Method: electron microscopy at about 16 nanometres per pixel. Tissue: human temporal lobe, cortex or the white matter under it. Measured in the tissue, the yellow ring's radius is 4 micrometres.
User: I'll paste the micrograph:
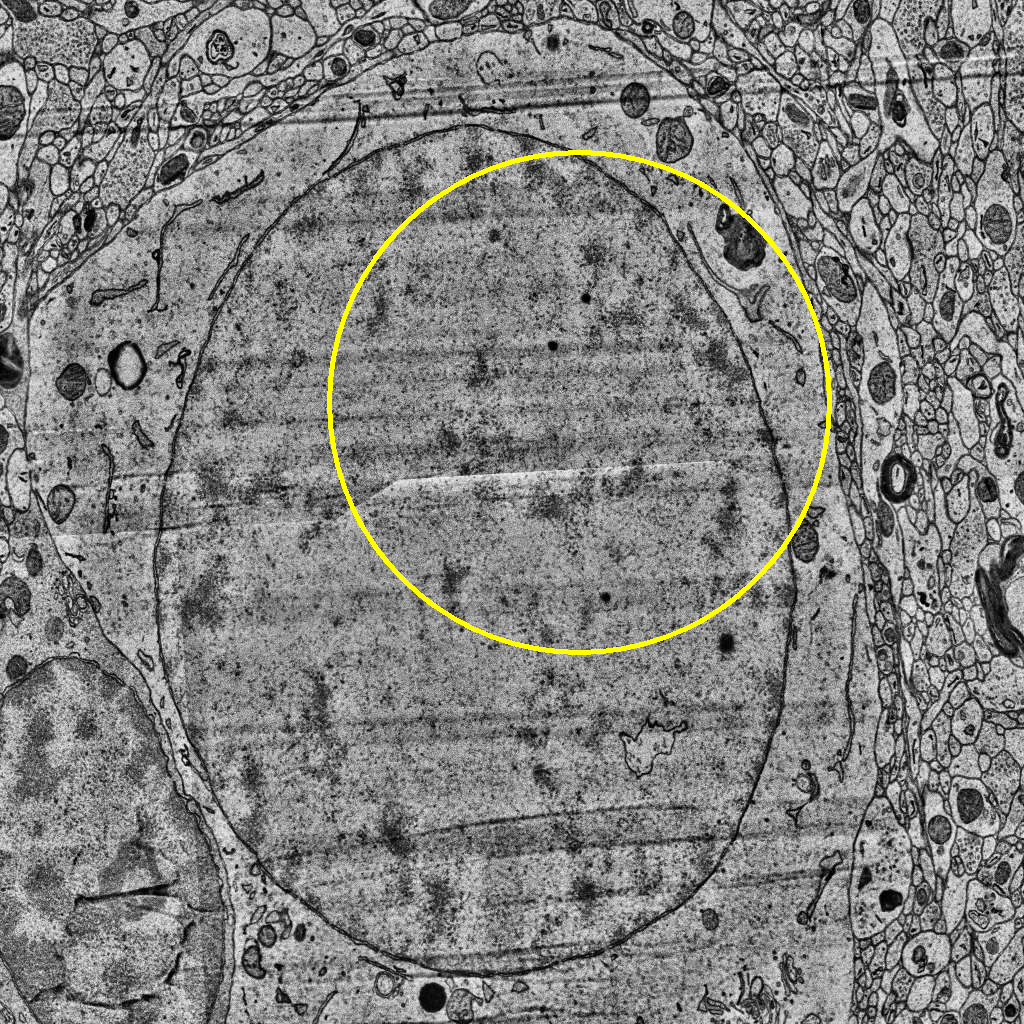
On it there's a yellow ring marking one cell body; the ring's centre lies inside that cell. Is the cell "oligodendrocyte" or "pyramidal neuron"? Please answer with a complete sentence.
The cell at the centre of the yellow ring is a pyramidal neuron.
